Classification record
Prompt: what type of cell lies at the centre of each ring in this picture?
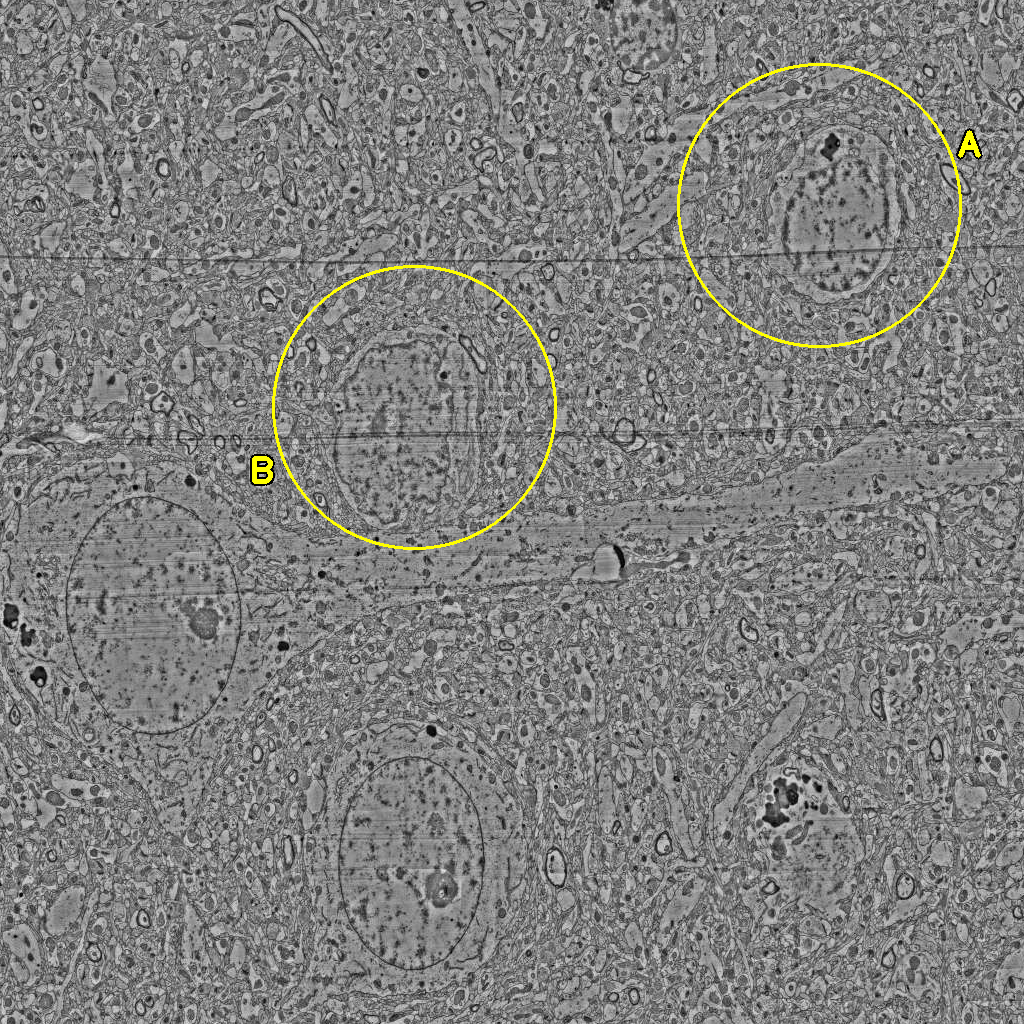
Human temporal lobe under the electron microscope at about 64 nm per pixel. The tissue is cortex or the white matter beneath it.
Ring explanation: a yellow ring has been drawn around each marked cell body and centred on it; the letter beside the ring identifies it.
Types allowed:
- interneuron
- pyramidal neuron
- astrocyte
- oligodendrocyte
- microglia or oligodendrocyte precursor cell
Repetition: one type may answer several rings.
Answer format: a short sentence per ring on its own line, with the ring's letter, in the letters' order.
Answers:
Ring A shows an interneuron at its centre.
Ring B shows an interneuron at its centre.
